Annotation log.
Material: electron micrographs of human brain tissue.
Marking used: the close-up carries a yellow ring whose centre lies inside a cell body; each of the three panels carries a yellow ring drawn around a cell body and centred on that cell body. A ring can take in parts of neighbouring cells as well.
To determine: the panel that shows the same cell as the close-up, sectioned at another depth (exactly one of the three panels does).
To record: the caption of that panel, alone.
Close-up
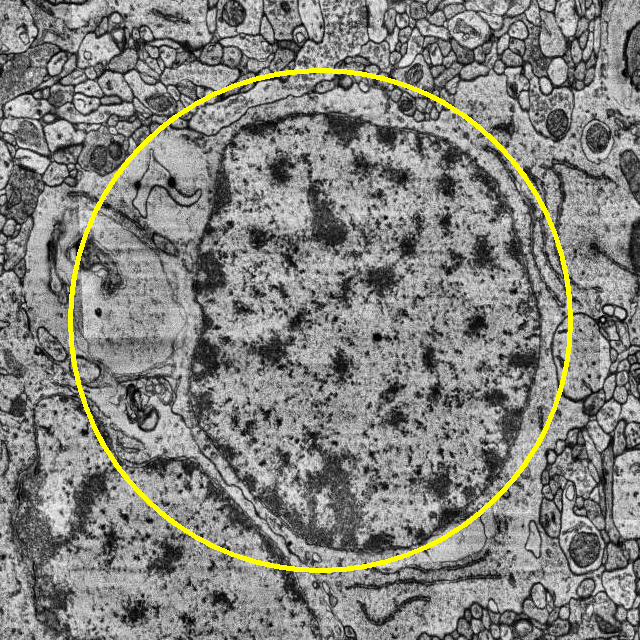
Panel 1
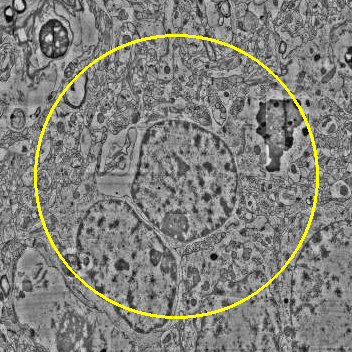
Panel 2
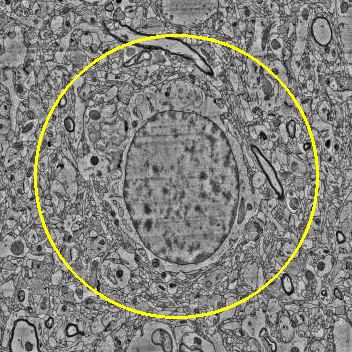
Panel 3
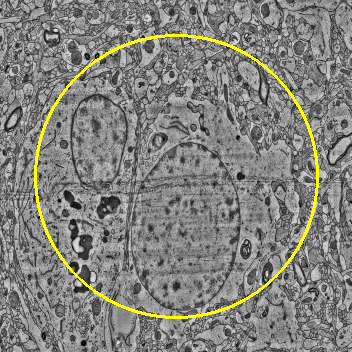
Panel 1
